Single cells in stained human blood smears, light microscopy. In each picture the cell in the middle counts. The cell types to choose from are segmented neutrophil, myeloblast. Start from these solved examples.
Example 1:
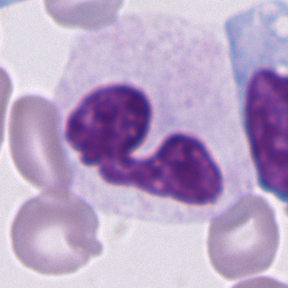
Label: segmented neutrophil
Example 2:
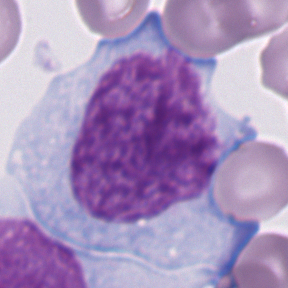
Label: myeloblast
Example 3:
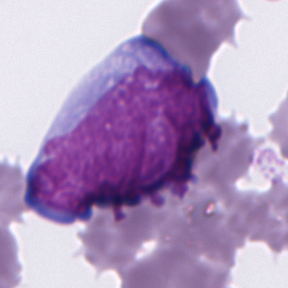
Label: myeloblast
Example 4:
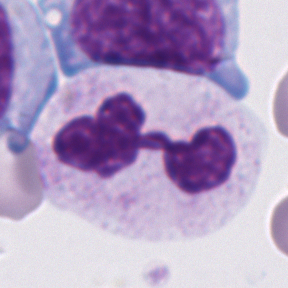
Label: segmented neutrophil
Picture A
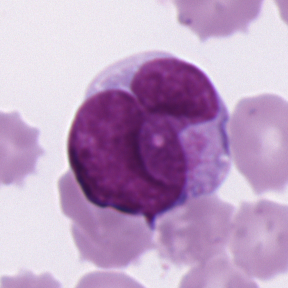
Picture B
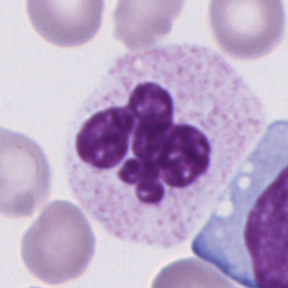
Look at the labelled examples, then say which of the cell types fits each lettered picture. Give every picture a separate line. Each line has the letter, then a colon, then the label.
A: myeloblast
B: segmented neutrophil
